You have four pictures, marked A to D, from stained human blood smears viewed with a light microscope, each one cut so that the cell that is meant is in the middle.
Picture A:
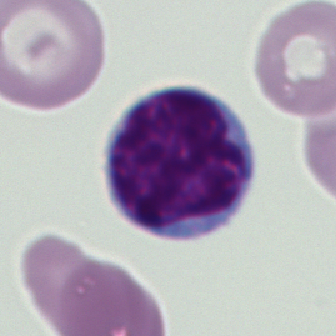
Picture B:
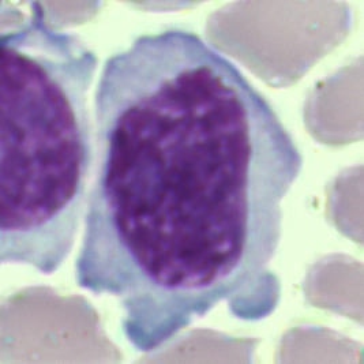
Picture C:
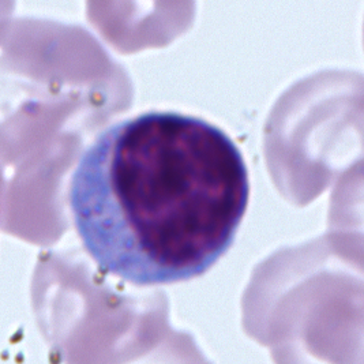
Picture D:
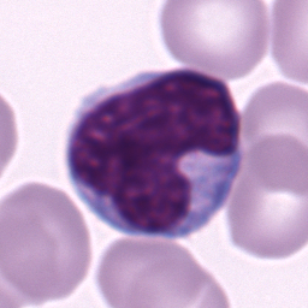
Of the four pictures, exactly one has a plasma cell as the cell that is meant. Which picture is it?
B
